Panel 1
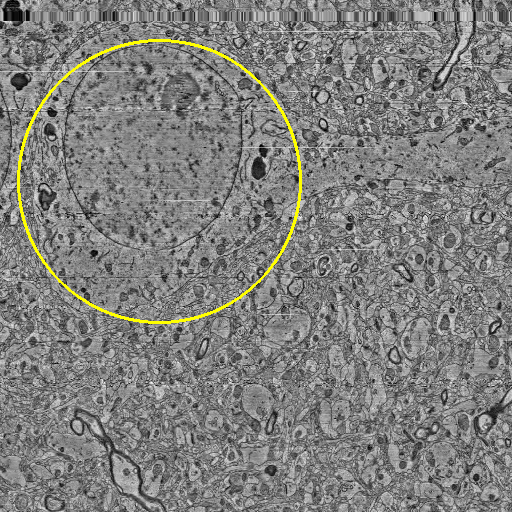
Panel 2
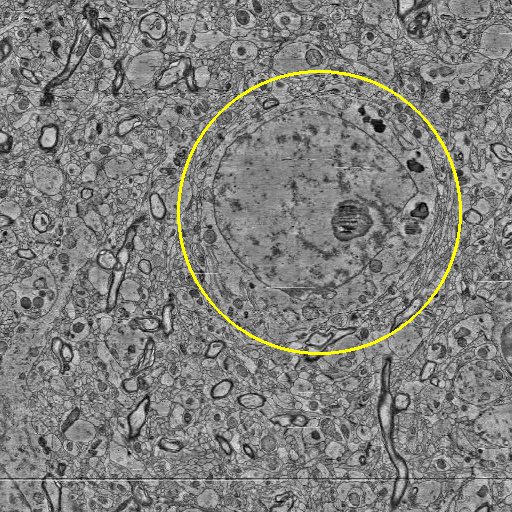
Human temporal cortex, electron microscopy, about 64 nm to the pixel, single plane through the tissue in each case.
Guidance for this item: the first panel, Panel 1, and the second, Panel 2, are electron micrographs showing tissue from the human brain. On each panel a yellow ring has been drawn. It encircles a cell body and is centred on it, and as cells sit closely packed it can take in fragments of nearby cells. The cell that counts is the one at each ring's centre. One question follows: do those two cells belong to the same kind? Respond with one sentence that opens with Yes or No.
Yes, the cells at the ring centres in Panel 1 and Panel 2 are of one kind.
